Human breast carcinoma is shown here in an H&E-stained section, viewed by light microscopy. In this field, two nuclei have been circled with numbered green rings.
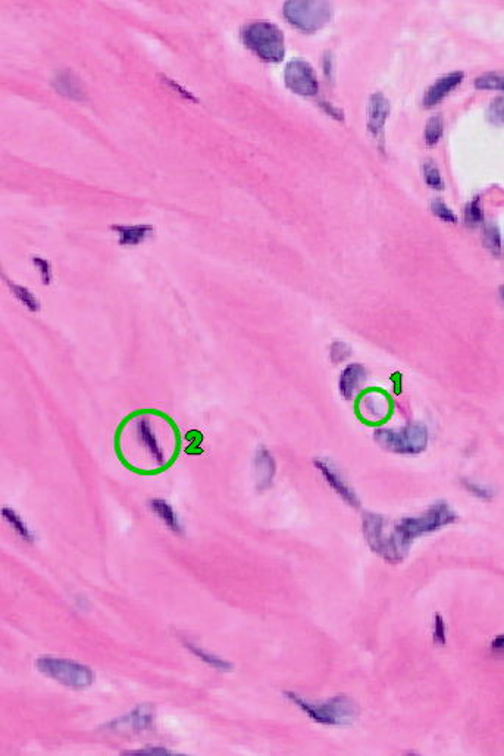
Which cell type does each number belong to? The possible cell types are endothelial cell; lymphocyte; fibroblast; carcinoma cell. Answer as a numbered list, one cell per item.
1. endothelial cell
2. fibroblast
